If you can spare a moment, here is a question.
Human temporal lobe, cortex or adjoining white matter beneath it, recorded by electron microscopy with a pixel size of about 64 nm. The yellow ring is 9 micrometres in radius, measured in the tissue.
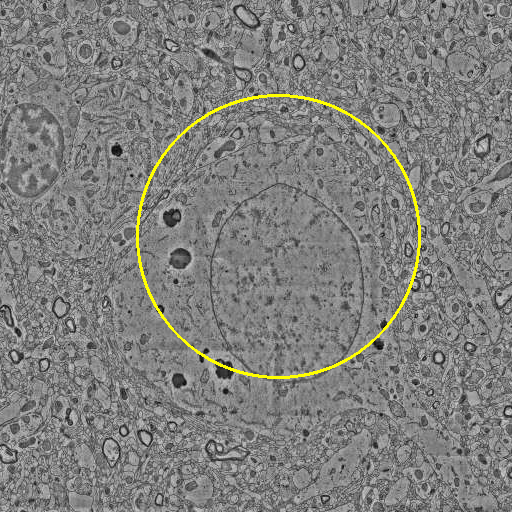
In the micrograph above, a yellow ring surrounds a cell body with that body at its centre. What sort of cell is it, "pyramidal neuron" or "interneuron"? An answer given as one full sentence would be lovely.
Centred inside the yellow ring, the cell body shown belongs to a pyramidal neuron in this micrograph.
